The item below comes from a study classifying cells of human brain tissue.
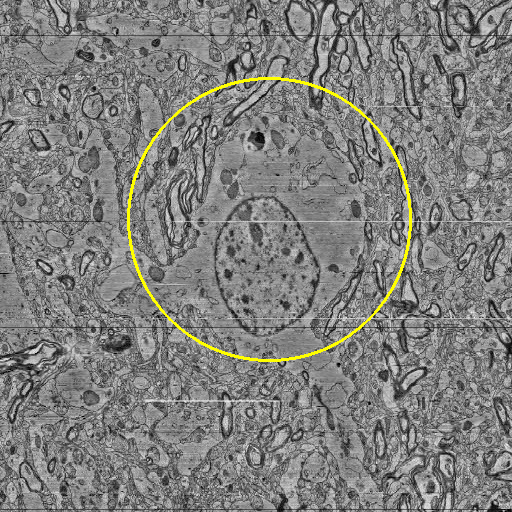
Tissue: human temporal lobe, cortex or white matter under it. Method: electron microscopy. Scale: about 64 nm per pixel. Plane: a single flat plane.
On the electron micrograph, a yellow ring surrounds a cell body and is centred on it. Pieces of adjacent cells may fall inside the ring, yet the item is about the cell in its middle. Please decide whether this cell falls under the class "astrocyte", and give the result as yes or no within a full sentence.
Yes, the cell at the middle of the ring on the micrograph belongs in that class.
